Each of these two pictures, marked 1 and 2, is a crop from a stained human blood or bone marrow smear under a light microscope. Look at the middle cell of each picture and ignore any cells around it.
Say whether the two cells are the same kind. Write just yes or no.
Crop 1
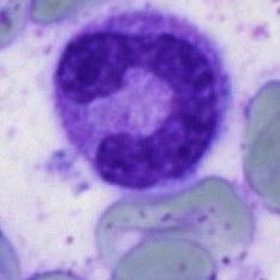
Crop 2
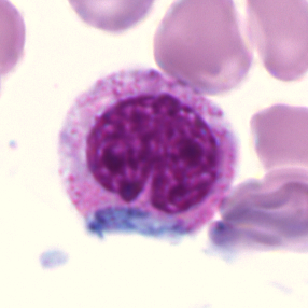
yes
